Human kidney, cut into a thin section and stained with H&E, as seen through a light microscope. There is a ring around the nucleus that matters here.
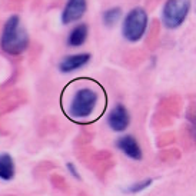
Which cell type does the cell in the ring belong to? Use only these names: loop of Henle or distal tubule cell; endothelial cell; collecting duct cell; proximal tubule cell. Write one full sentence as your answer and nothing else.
Speaking plainly, the cell in the ring is nothing other than an endothelial cell.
